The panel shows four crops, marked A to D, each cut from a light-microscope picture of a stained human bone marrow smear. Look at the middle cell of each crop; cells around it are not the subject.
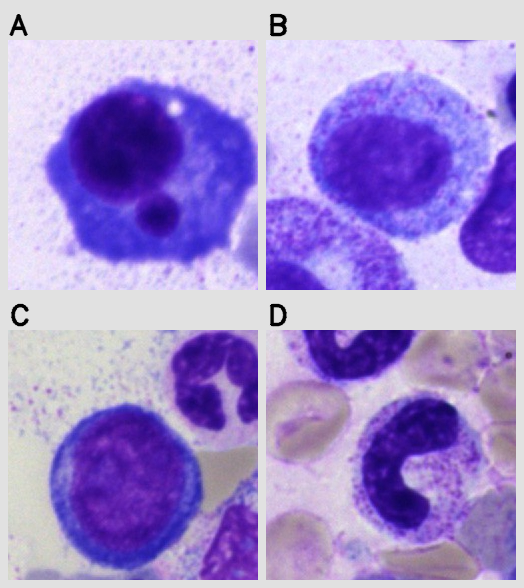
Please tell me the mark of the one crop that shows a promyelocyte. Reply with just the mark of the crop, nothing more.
B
